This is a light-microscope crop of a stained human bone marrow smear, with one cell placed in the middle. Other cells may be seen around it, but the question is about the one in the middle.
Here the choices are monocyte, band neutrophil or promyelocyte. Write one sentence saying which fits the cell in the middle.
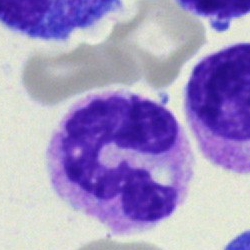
The cell of interest, located centrally, is a band neutrophil.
